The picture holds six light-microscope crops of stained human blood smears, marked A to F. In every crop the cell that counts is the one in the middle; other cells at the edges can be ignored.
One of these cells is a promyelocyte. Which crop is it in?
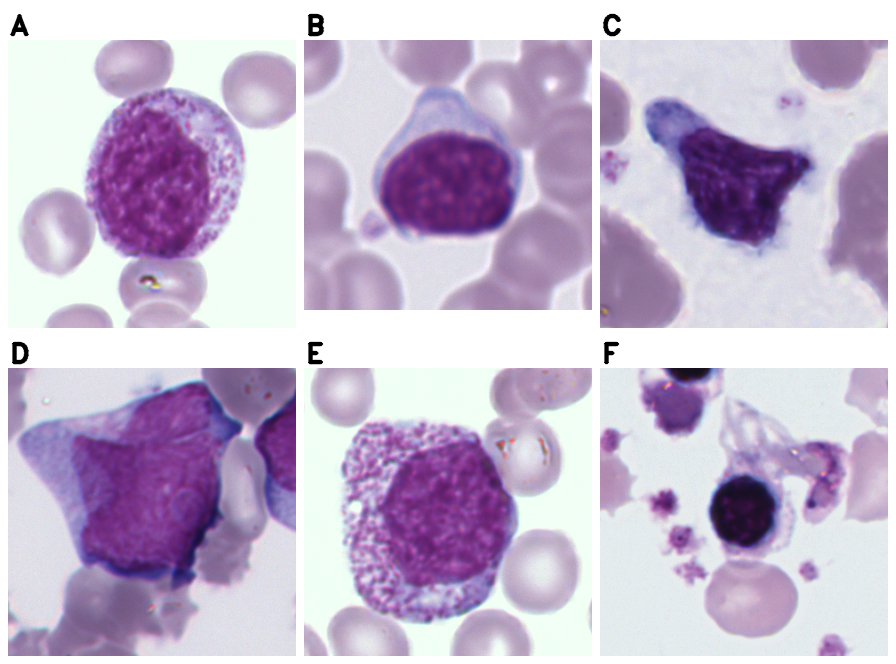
E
